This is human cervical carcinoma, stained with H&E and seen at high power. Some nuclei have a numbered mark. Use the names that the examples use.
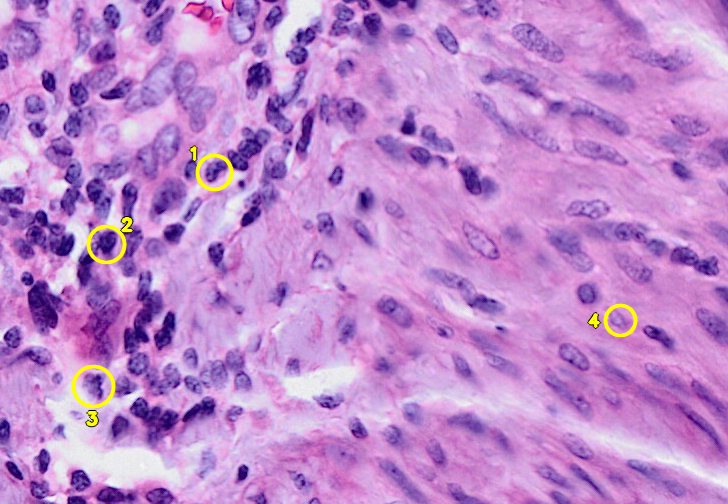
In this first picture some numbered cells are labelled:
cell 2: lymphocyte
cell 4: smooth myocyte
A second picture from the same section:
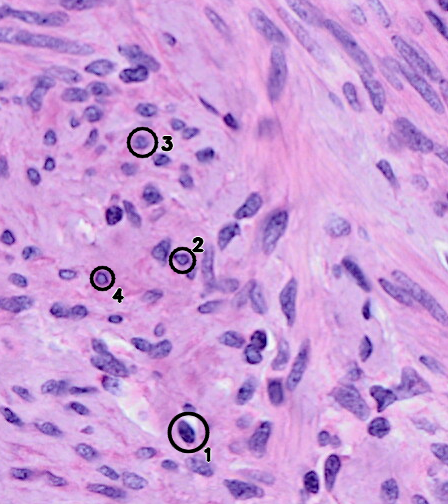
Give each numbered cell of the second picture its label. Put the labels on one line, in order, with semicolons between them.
lymphocyte; smooth myocyte; smooth myocyte; smooth myocyte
